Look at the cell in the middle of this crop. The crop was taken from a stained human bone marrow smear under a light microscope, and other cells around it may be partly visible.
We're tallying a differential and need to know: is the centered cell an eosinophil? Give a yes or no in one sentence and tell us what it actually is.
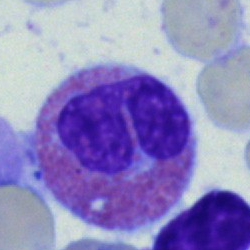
Yes, the cell that the crop is centered on is an eosinophil.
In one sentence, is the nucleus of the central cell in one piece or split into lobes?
Counting the nuclear lobes gives a total of at least two.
